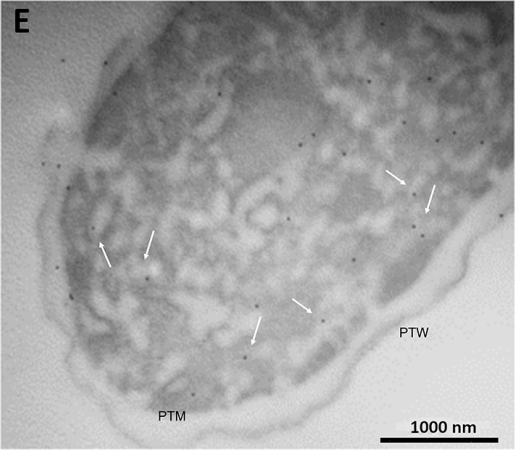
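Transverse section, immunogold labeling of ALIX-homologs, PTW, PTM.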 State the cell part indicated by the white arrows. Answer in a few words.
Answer: Vesicles.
